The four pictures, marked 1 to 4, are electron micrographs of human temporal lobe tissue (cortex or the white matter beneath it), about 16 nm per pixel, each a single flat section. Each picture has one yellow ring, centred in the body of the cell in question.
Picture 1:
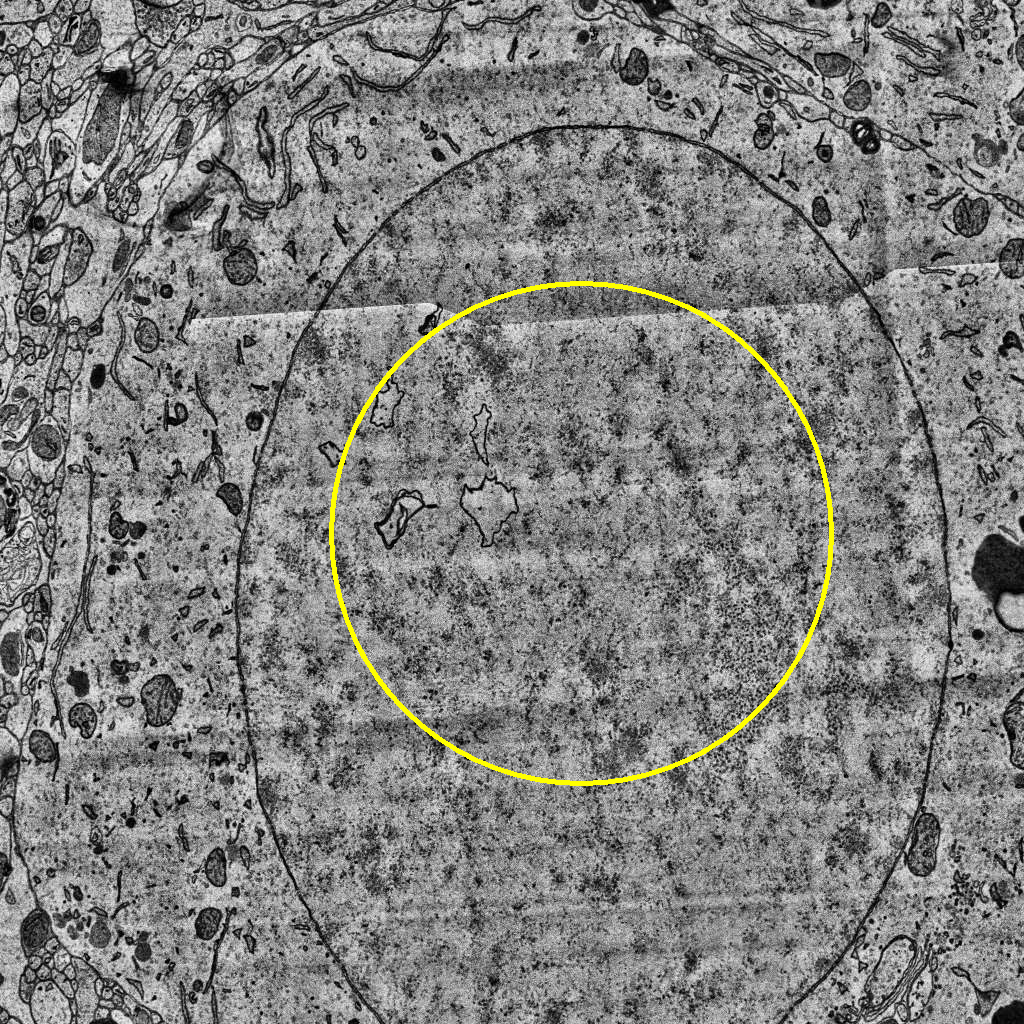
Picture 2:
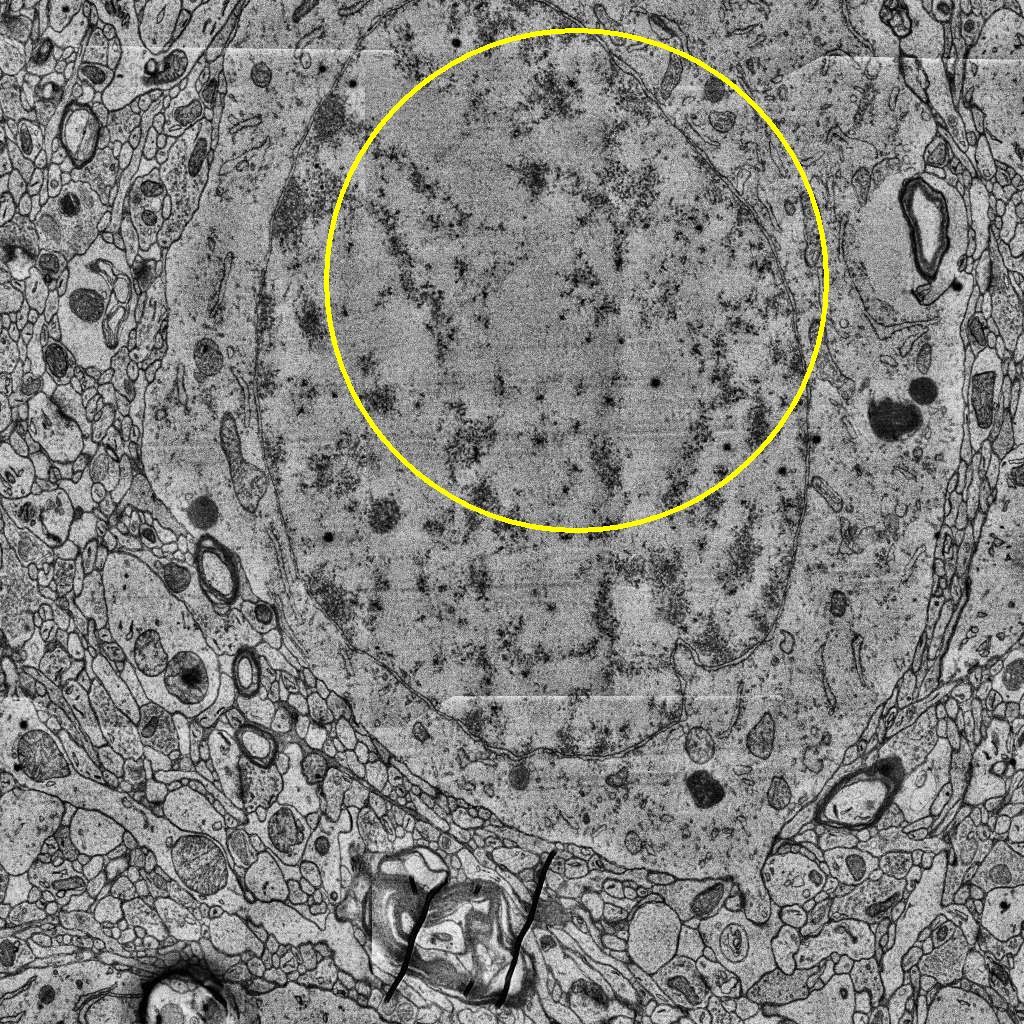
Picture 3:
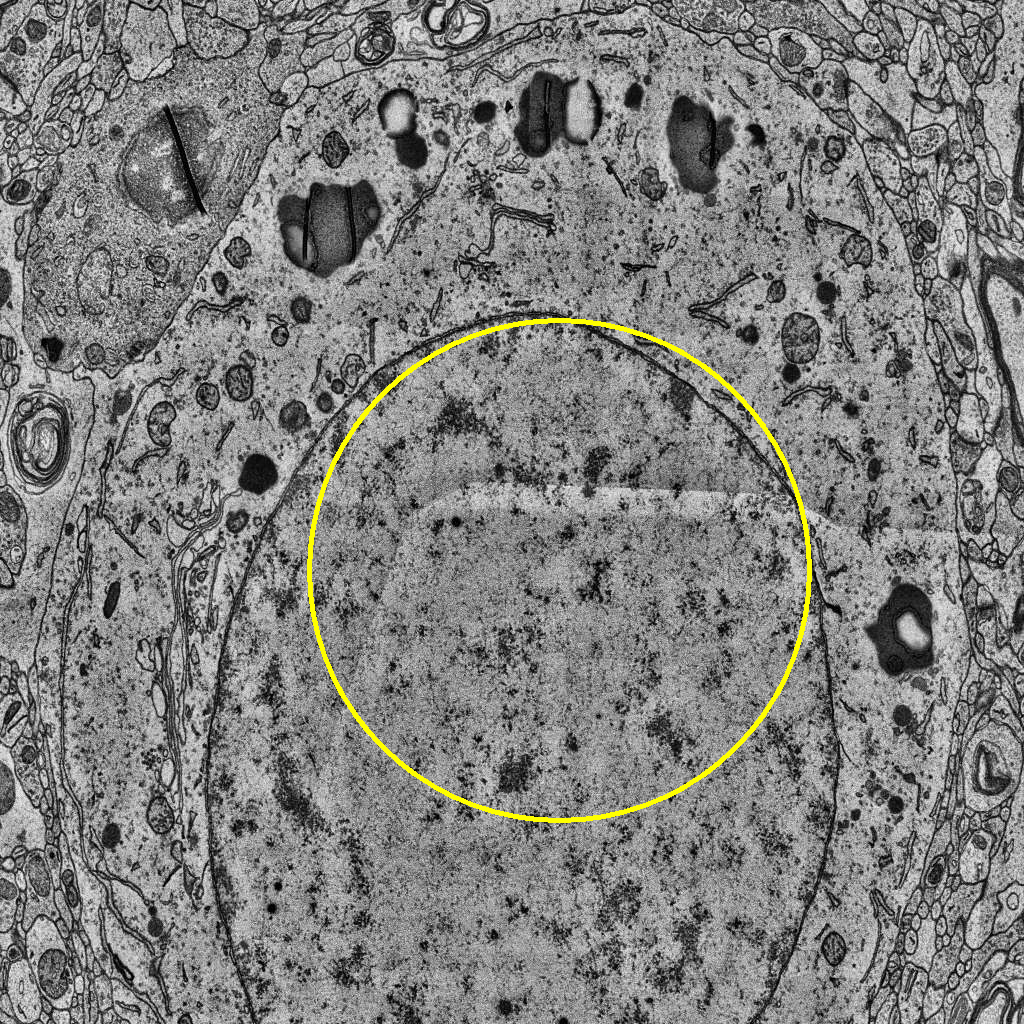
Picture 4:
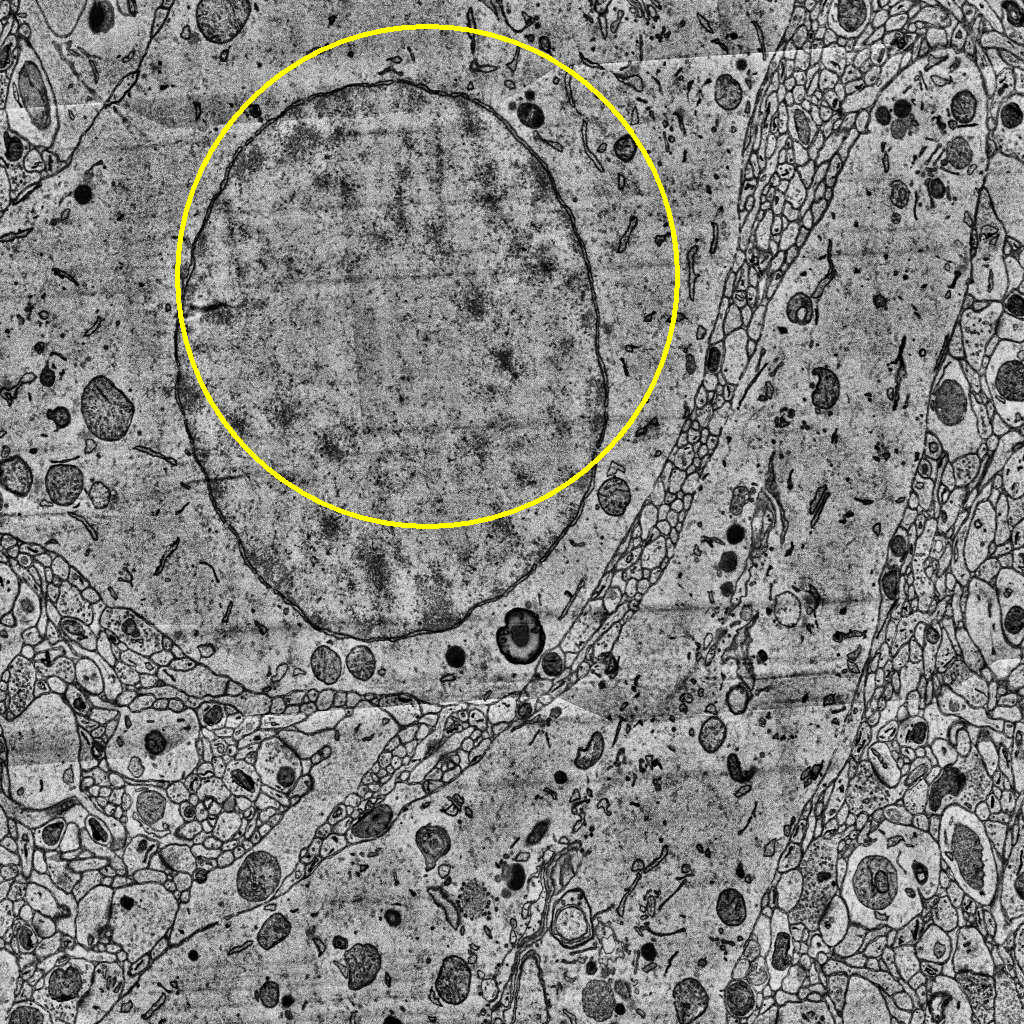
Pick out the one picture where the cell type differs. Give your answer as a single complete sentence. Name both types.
Picture 2 is the odd one out: it shows an interneuron, while the others show pyramidal neurons.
